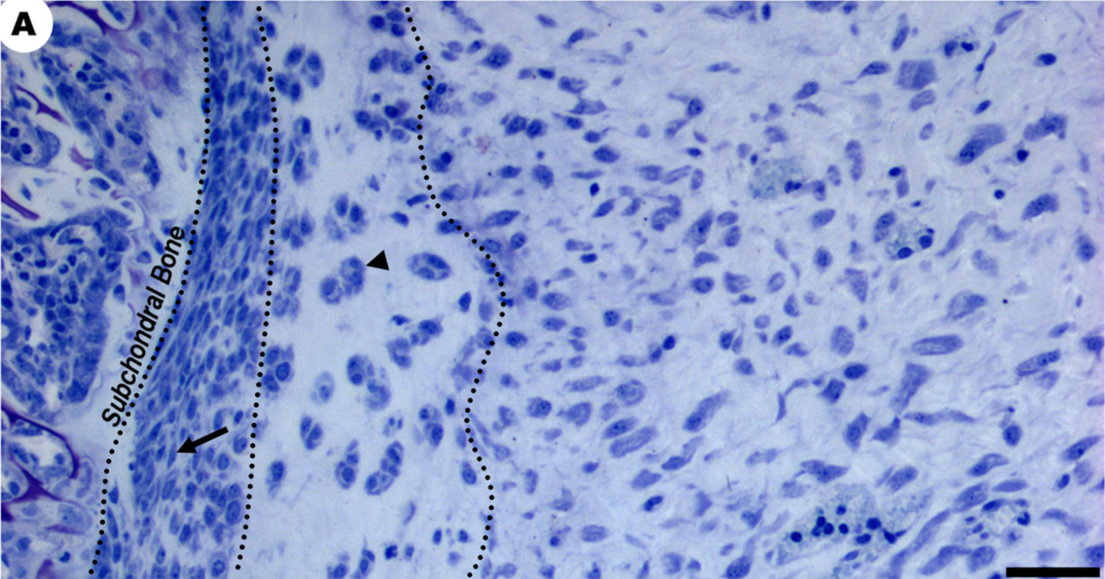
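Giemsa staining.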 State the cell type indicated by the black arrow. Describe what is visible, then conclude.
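A narrow band of densely packed cells runs along the bone edge. Their nuclei are oval to elongated and aligned with the band. The answer: elongated cells.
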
